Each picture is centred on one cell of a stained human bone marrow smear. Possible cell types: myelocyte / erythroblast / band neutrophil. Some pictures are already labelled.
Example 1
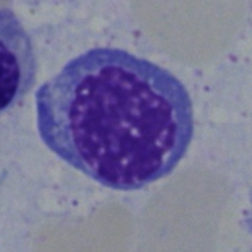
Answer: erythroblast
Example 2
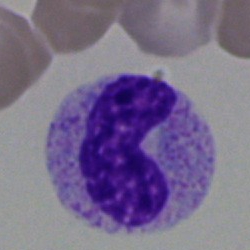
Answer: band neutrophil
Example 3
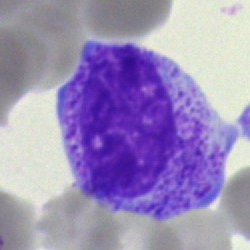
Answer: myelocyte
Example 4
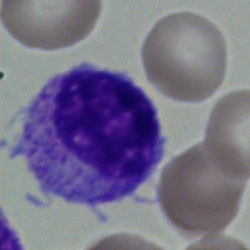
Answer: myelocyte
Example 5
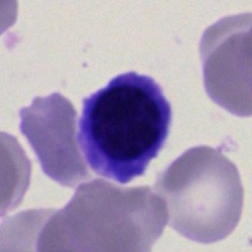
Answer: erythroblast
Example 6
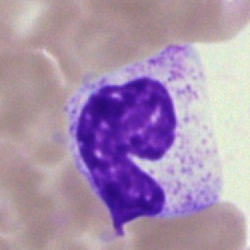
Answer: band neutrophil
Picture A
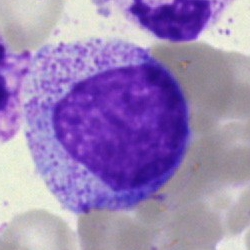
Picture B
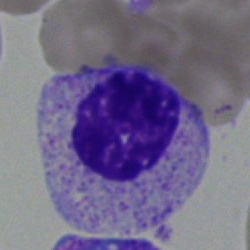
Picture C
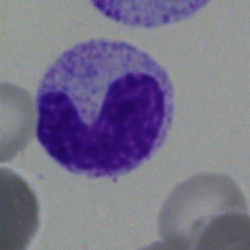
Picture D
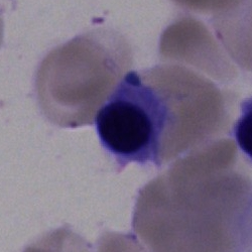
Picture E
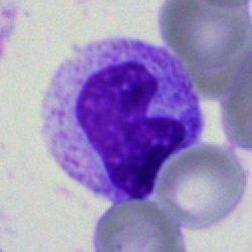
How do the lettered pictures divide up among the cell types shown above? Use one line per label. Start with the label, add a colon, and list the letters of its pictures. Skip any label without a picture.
myelocyte: A, B
erythroblast: D
band neutrophil: C, E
